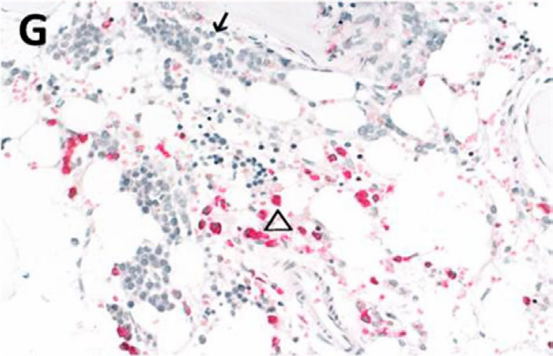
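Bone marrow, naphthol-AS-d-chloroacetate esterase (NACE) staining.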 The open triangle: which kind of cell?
Myeloid precursors.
